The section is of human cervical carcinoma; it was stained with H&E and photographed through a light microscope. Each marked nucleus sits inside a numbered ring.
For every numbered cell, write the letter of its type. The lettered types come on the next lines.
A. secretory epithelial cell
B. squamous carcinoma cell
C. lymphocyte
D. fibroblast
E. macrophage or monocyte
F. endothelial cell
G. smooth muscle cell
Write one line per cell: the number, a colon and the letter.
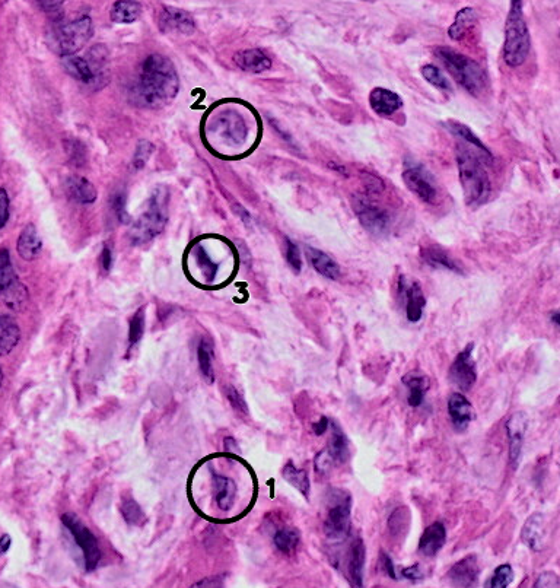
1: E
2: D
3: D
